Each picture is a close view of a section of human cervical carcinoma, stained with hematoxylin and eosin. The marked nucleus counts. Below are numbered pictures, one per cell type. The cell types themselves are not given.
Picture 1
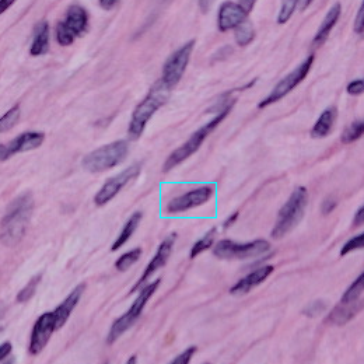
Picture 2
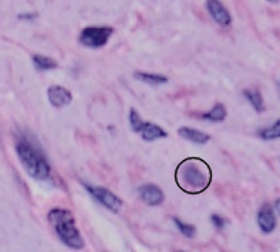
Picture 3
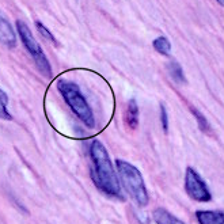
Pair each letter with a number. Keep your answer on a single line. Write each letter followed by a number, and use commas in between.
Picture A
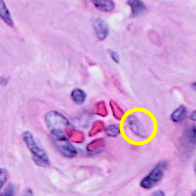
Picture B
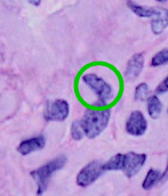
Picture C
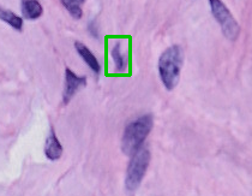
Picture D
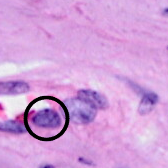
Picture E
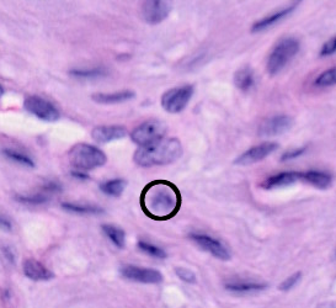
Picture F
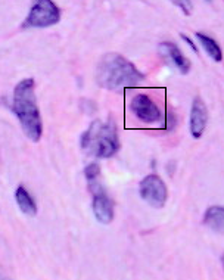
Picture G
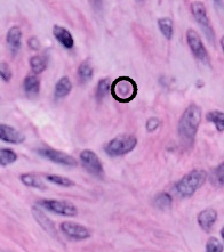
A 3, B 1, C 1, D 3, E 1, F 3, G 2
